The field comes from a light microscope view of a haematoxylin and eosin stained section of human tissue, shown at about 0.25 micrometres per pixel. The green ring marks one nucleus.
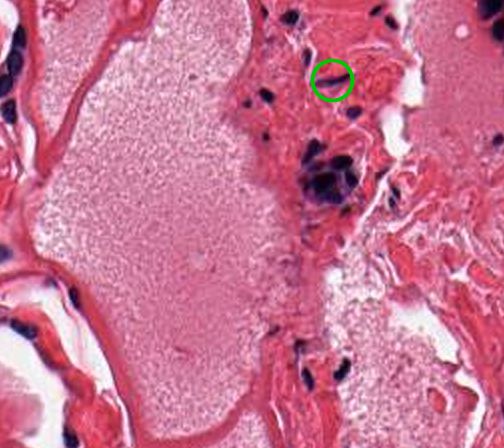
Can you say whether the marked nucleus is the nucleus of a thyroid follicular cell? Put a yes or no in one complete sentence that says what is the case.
No, the marked nucleus belongs to a supporting cell of connective tissue, a vessel or the immune system, not to a thyroid follicular cell.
